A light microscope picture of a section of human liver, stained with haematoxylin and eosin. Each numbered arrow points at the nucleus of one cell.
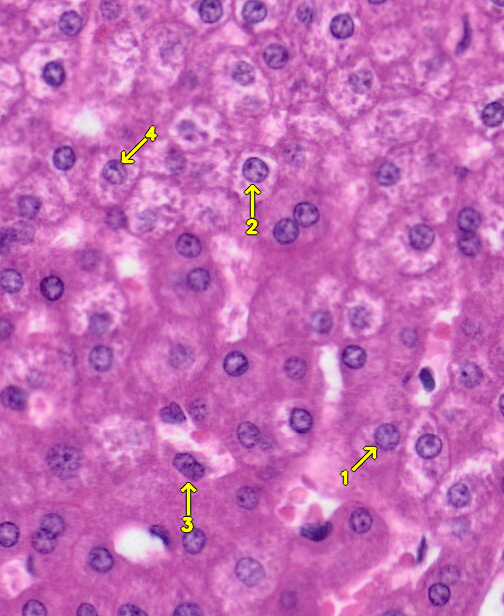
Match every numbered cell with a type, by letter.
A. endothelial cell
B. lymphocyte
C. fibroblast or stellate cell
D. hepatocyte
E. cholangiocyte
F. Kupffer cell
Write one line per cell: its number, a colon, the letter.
1: D
2: D
3: F
4: D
